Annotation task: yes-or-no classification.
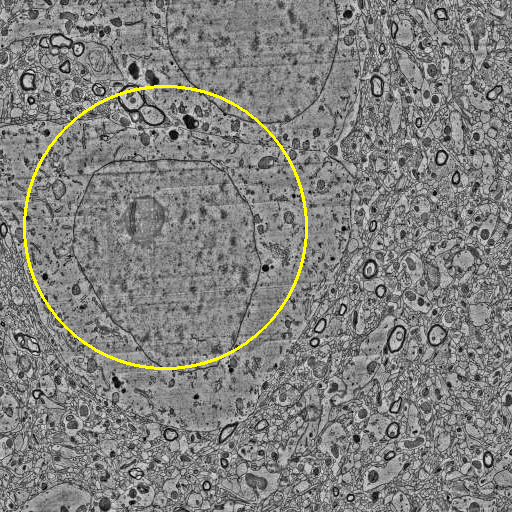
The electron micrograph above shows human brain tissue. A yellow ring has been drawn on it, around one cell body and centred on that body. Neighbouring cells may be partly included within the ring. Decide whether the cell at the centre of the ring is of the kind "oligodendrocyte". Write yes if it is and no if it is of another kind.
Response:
no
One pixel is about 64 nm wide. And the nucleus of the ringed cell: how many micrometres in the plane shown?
About 15 micrometres by about 11 micrometres in this plane.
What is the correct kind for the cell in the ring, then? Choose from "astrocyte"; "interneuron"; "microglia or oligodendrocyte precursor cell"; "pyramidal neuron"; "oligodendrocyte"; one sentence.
That cell in the ring is a pyramidal neuron instead.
